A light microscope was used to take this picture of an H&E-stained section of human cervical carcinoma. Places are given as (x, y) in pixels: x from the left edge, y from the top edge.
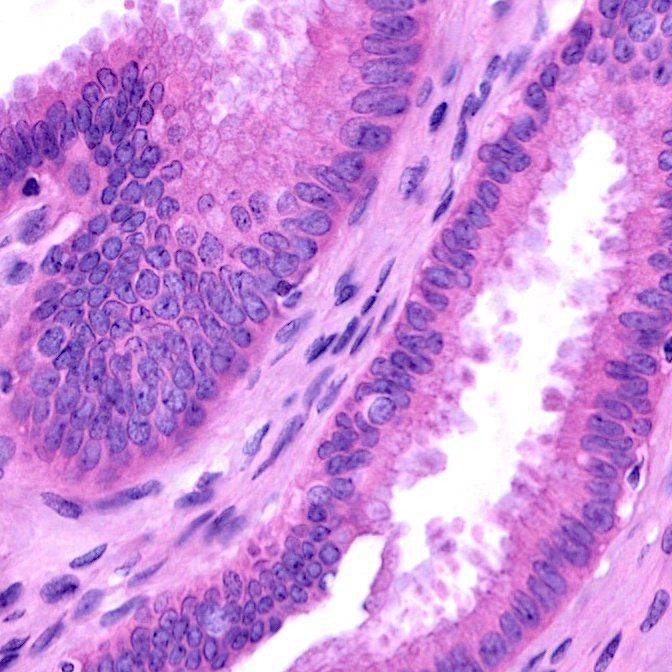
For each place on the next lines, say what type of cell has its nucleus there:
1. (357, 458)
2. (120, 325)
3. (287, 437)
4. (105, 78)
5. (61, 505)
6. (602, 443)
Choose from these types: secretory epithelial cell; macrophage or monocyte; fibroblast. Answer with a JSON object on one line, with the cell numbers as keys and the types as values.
{"1": "secretory epithelial cell", "2": "secretory epithelial cell", "3": "fibroblast", "4": "secretory epithelial cell", "5": "fibroblast", "6": "secretory epithelial cell"}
